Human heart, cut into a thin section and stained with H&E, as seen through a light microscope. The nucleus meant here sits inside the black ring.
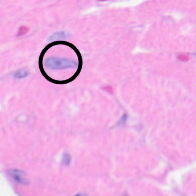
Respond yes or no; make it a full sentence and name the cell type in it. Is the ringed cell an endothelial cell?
No, the ringed cell is to be identified as a cardiomyocyte, not an endothelial cell.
